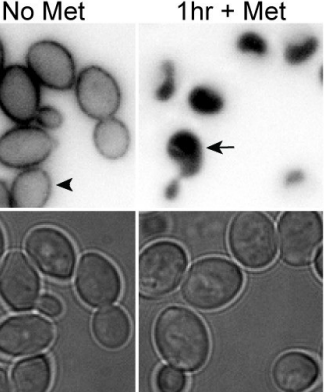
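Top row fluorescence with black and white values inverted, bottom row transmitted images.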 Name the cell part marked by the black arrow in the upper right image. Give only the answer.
Vacuolar.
